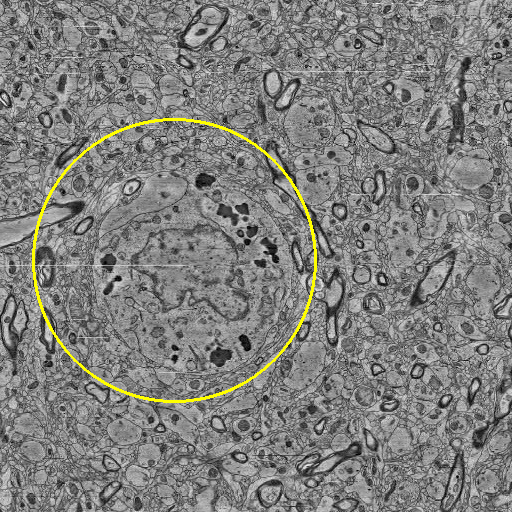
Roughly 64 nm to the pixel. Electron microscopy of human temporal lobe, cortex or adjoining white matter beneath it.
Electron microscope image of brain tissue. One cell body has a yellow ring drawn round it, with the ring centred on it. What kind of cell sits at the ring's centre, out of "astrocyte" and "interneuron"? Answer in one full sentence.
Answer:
It is an interneuron whose cell body sits at the centre of the yellow ring.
